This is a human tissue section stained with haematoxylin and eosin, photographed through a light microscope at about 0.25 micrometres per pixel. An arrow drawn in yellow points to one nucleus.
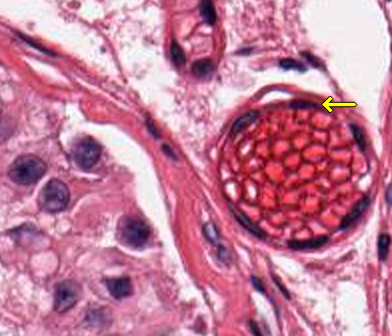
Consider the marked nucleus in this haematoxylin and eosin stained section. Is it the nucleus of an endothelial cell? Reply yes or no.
yes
